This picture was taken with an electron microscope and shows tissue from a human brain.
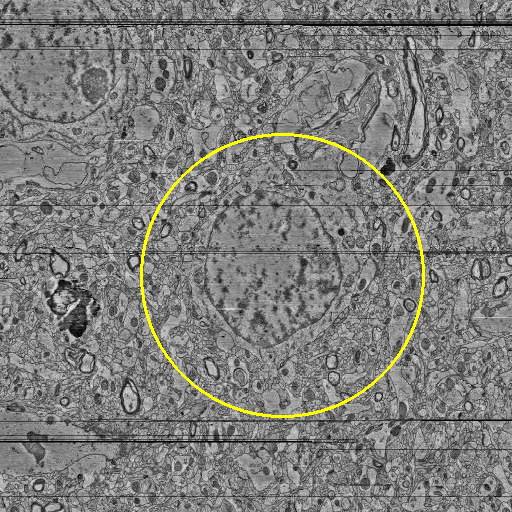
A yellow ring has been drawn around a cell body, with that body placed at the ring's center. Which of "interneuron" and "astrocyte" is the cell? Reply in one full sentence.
In this picture, an interneuron is the cell at the center of the yellow ring.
